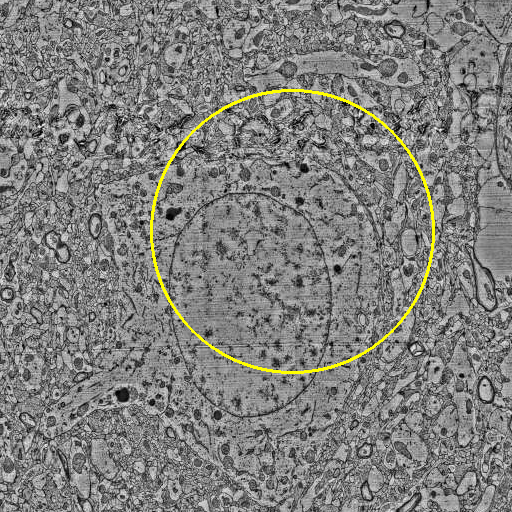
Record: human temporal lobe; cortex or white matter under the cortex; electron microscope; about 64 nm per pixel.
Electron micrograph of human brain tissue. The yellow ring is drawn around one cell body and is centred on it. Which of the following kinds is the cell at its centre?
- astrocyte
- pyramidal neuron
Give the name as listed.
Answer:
pyramidal neuron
